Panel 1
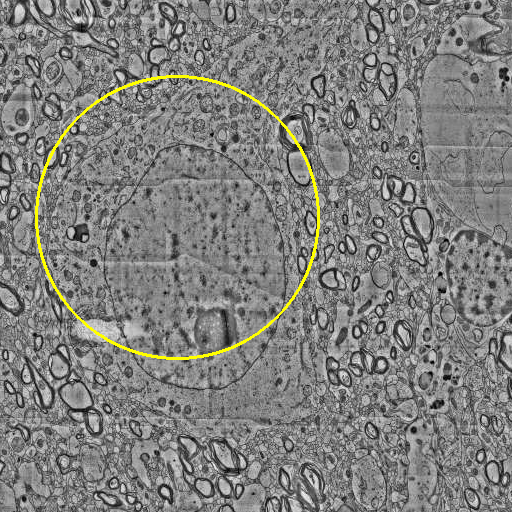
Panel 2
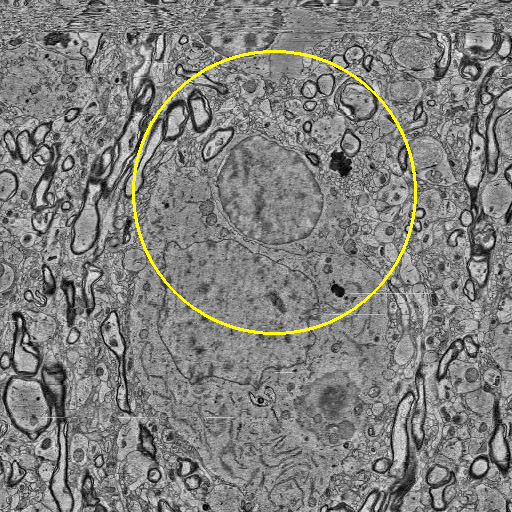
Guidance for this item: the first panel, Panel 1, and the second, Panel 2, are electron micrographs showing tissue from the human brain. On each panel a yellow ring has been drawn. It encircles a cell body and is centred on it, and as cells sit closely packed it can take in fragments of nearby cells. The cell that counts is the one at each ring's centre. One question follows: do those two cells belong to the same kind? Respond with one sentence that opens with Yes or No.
No, the cells at the ring centres in Panel 1 and Panel 2 are of two kinds.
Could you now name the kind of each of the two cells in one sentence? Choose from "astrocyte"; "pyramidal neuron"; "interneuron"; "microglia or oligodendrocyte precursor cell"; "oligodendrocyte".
The first ring encloses a pyramidal neuron; the second ring encloses an oligodendrocyte.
